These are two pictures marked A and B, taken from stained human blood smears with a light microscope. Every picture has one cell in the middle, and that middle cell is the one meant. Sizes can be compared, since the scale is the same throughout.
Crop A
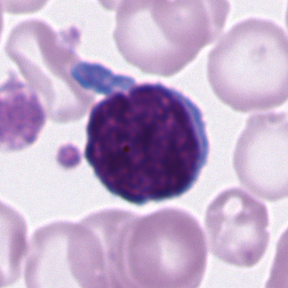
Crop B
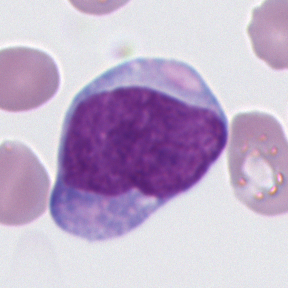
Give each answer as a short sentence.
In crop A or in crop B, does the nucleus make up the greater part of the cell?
In crop A the nucleus takes up the larger part of its cell.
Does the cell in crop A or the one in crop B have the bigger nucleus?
Larger is the nucleus in crop B, at roughly 1.5 times the area of the other.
